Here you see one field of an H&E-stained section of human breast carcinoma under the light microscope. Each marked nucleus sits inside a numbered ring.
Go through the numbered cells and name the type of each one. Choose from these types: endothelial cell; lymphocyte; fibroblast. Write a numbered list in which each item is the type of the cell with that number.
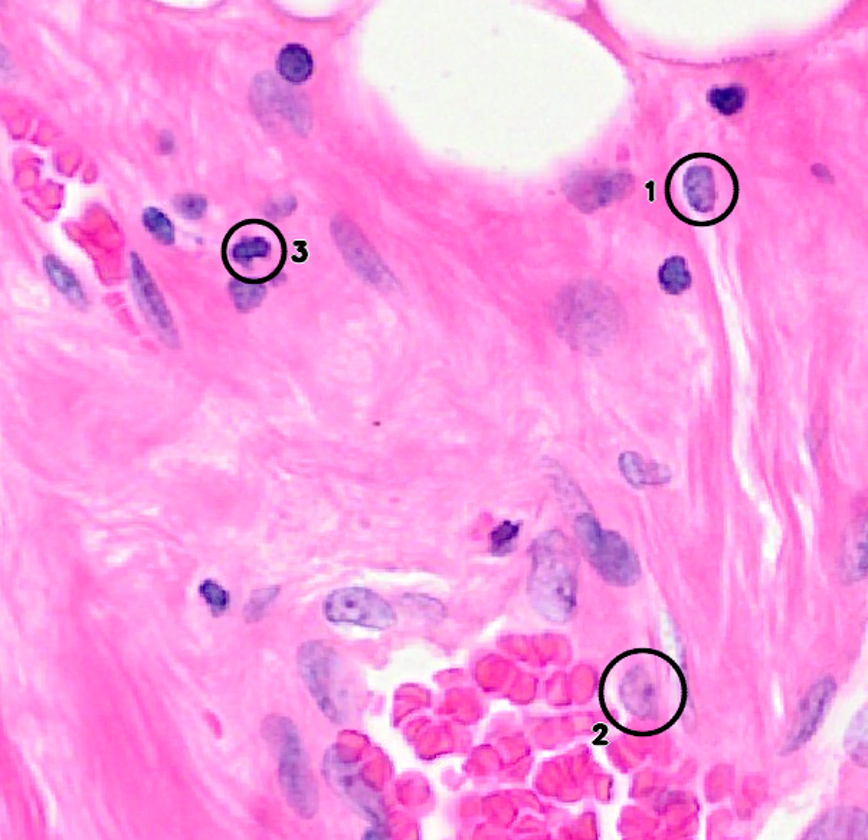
1. lymphocyte
2. endothelial cell
3. lymphocyte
